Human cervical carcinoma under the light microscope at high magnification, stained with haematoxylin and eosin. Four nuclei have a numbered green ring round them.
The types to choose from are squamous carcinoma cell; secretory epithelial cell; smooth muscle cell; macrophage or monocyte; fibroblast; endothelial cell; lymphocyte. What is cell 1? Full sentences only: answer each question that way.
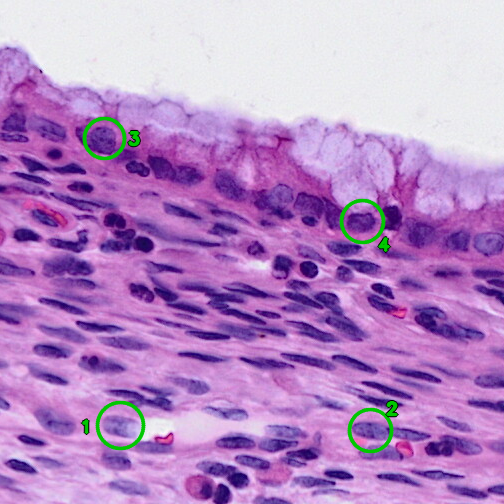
Nucleus 1 in this section belongs to an endothelial cell.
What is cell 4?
Denoted by the label 4 in the section is a secretory epithelial cell.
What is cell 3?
To a secretory epithelial cell belongs the nucleus marked 3.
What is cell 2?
The cell marked with number 2 is an endothelial cell.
